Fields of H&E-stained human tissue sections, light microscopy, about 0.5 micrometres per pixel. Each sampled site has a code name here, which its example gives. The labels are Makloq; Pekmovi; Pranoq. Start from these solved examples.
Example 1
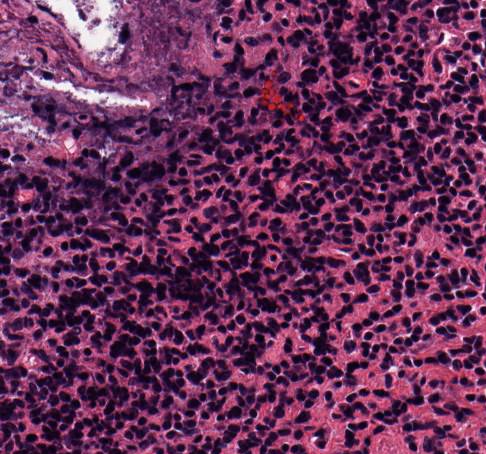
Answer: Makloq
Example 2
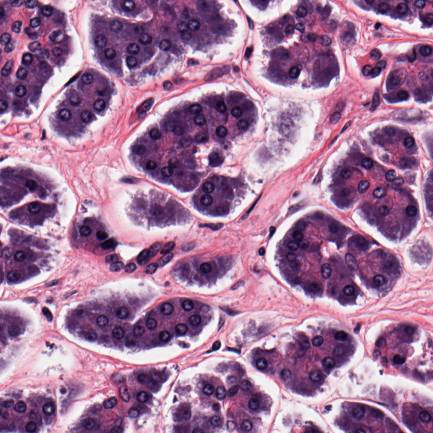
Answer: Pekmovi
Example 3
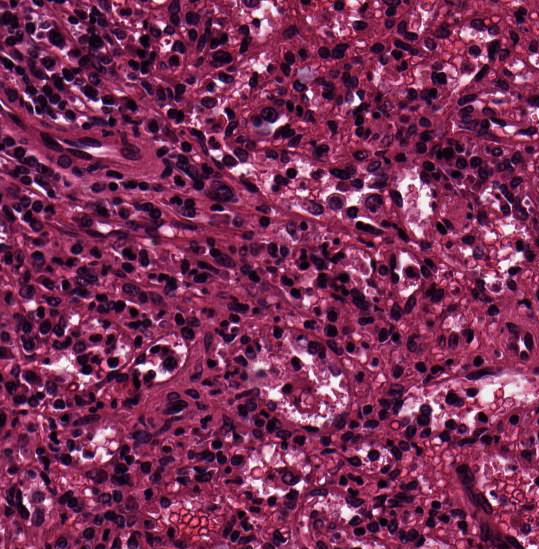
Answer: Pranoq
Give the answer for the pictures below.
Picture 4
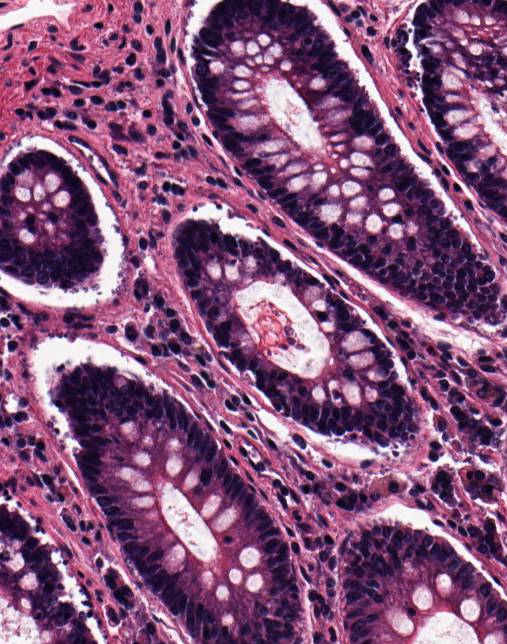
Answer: Makloq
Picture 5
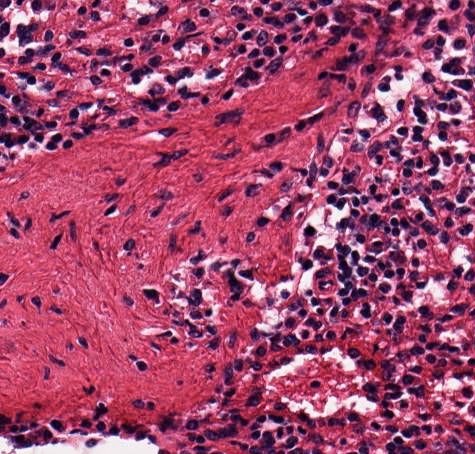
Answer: Pranoq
